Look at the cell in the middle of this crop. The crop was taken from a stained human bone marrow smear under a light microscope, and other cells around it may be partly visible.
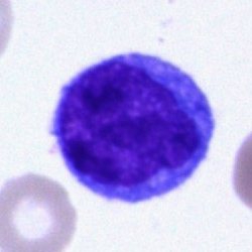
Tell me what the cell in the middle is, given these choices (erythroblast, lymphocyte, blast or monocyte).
blast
